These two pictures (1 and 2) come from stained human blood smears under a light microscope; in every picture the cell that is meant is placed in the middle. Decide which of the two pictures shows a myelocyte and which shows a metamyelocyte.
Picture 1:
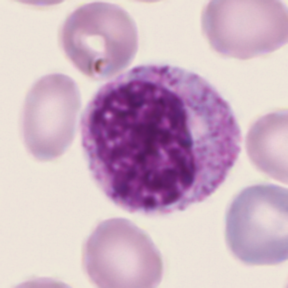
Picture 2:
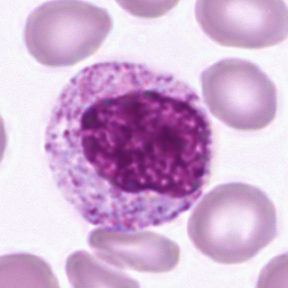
1: myelocyte
2: metamyelocyte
